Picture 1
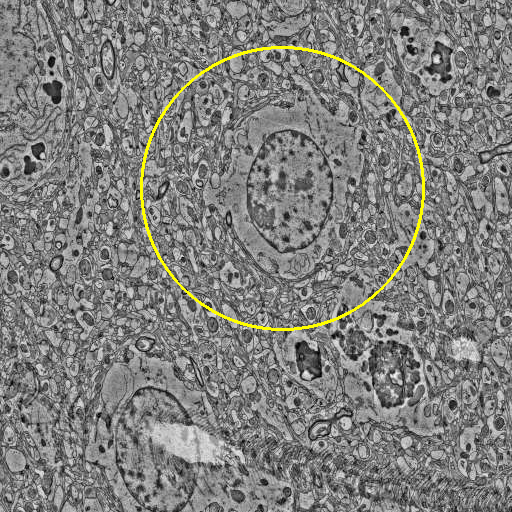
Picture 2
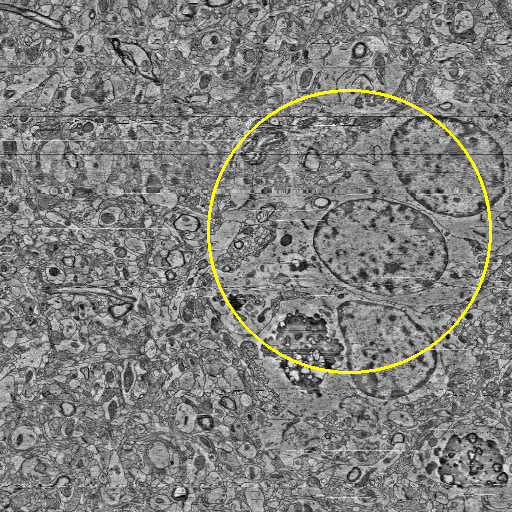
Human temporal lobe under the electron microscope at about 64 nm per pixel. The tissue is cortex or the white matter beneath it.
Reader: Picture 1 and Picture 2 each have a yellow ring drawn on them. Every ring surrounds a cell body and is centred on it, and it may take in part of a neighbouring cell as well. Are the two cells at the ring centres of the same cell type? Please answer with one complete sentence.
Yes, both cells are of the same cell type.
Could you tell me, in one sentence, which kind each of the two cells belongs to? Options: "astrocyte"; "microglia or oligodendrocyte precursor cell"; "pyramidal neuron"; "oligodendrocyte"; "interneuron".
In both pictures the ring is centred on an astrocyte.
